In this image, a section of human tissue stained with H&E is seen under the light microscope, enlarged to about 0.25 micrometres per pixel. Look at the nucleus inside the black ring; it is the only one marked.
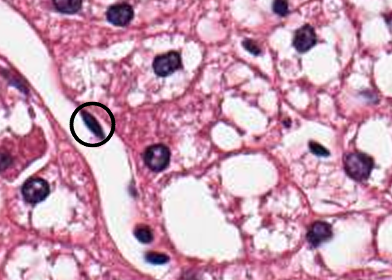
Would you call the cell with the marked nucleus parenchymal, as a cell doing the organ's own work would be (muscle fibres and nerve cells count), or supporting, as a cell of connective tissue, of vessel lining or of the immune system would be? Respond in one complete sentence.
The cell holding the marked nucleus is identified as a supporting cell.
